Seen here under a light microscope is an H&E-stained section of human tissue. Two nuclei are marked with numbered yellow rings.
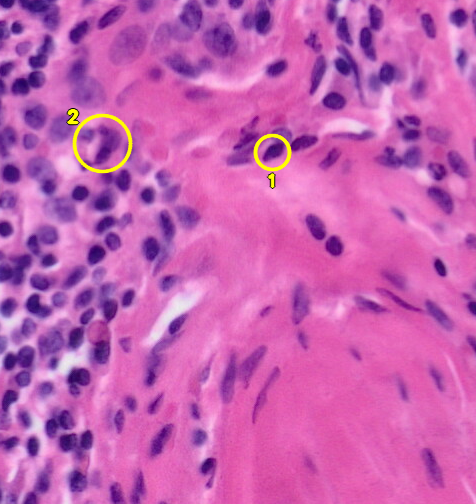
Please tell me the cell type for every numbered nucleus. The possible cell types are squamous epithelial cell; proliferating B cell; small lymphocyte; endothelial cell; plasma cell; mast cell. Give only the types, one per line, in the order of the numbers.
mast cell
endothelial cell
